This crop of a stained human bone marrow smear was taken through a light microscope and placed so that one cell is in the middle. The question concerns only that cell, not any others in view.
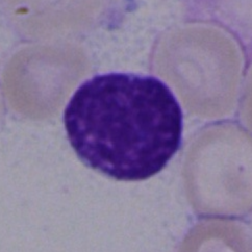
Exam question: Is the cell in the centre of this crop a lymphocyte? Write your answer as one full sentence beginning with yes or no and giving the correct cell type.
Yes, the central cell here is a lymphocyte.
